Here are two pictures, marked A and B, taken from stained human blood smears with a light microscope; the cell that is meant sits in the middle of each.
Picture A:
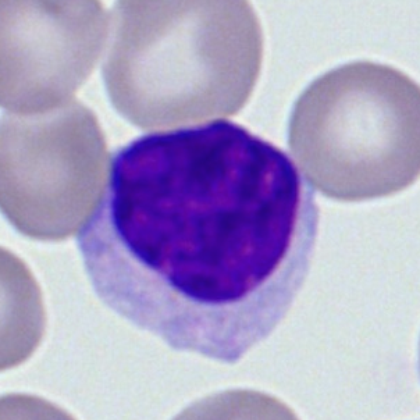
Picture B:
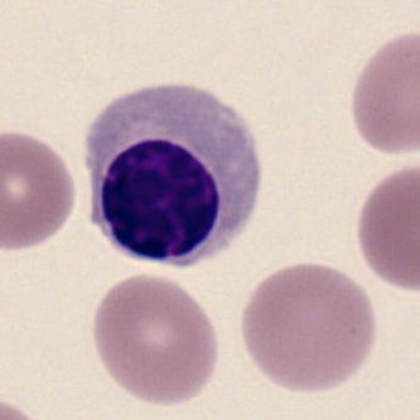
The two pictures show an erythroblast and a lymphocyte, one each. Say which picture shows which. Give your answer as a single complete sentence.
The cell in picture A is a lymphocyte, and the one in picture B is an erythroblast.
